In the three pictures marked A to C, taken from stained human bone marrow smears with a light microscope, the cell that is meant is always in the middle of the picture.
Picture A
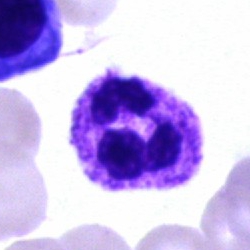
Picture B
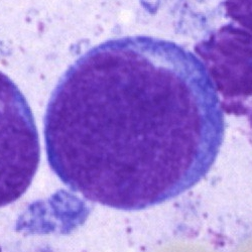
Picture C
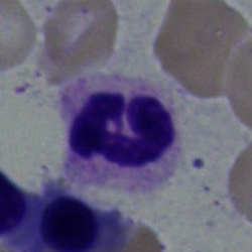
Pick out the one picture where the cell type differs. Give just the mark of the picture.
B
